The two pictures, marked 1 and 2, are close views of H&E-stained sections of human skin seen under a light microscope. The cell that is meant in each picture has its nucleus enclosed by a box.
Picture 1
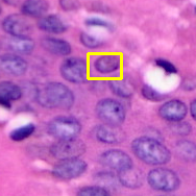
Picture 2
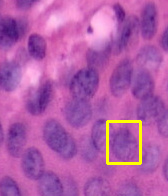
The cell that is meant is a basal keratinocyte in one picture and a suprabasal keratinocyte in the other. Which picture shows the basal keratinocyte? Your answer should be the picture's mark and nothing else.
1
